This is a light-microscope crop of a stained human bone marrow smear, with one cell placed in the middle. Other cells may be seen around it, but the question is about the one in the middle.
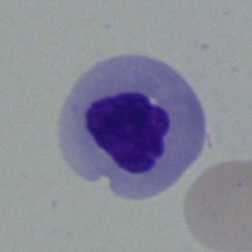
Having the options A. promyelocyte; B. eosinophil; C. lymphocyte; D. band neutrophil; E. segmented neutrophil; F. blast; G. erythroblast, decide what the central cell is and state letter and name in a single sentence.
The cell at the centre, correctly named in option G, is an erythroblast.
